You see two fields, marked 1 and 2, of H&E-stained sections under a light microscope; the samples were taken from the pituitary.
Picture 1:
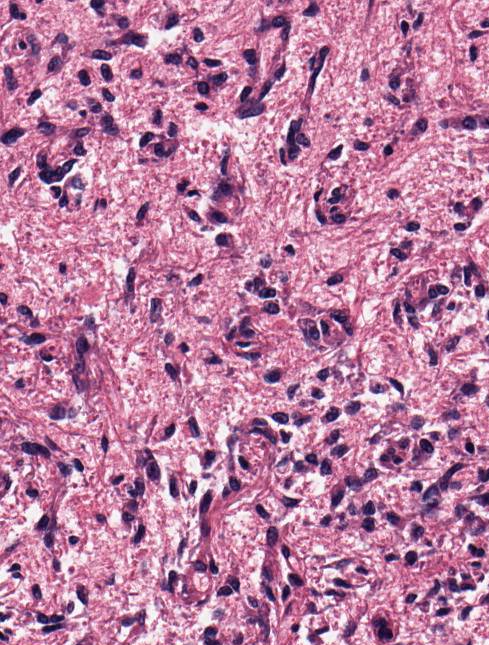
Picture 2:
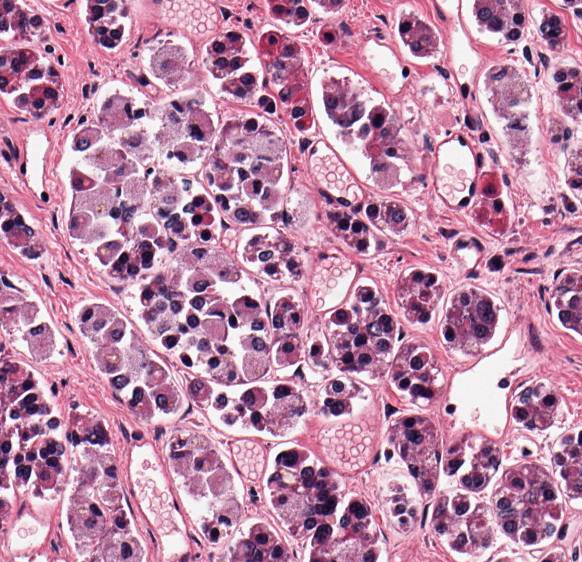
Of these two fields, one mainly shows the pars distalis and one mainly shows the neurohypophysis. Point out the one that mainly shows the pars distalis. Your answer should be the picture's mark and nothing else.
2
